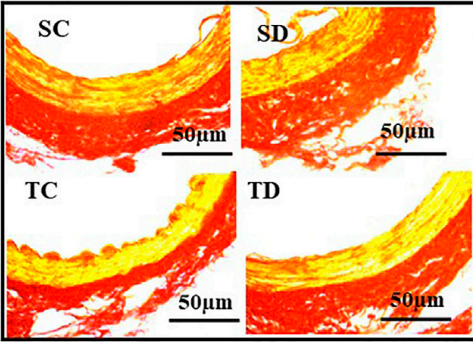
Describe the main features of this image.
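Four cross-sections of an artery wall, each a curved arc of vessel. The inner portion is a yellow band of closely packed, parallel, wavy lamellae, the smooth muscle layer of the media. External to it lies a thick layer of red-stained fibres, denser next to the yellow band and looser toward the outer edge, where strands separate into the surrounding space: the collagen of the adventitia. The two zones meet along a fairly distinct line following the curvature. Single cells and nuclei are not distinguishable; only the layered tissue architecture of the wall is seen.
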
